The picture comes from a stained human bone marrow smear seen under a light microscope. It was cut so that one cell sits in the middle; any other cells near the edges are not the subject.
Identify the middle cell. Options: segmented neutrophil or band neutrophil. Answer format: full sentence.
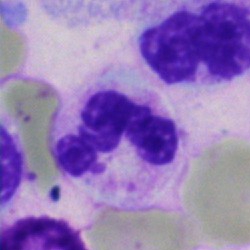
The cell featured at the centre of this crop is a segmented neutrophil.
